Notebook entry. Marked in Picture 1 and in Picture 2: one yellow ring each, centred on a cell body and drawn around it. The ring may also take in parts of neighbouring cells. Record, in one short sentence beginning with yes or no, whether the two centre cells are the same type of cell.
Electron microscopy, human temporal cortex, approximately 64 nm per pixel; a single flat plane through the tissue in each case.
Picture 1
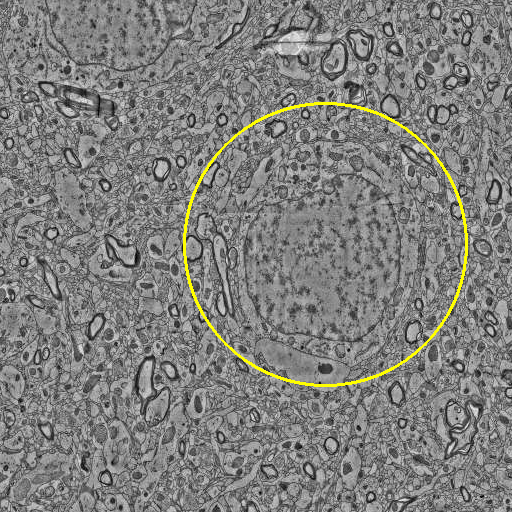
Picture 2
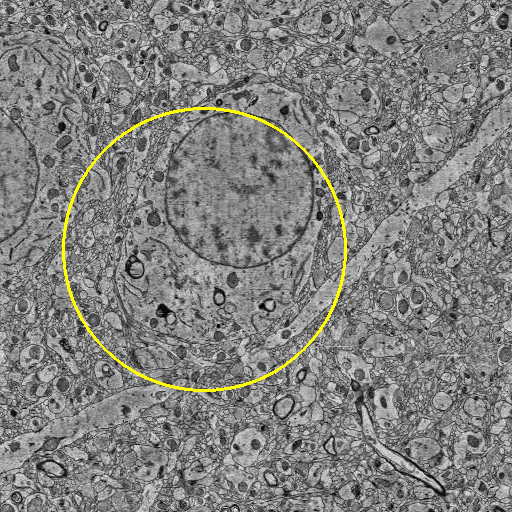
Yes, both are the same type of cell.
